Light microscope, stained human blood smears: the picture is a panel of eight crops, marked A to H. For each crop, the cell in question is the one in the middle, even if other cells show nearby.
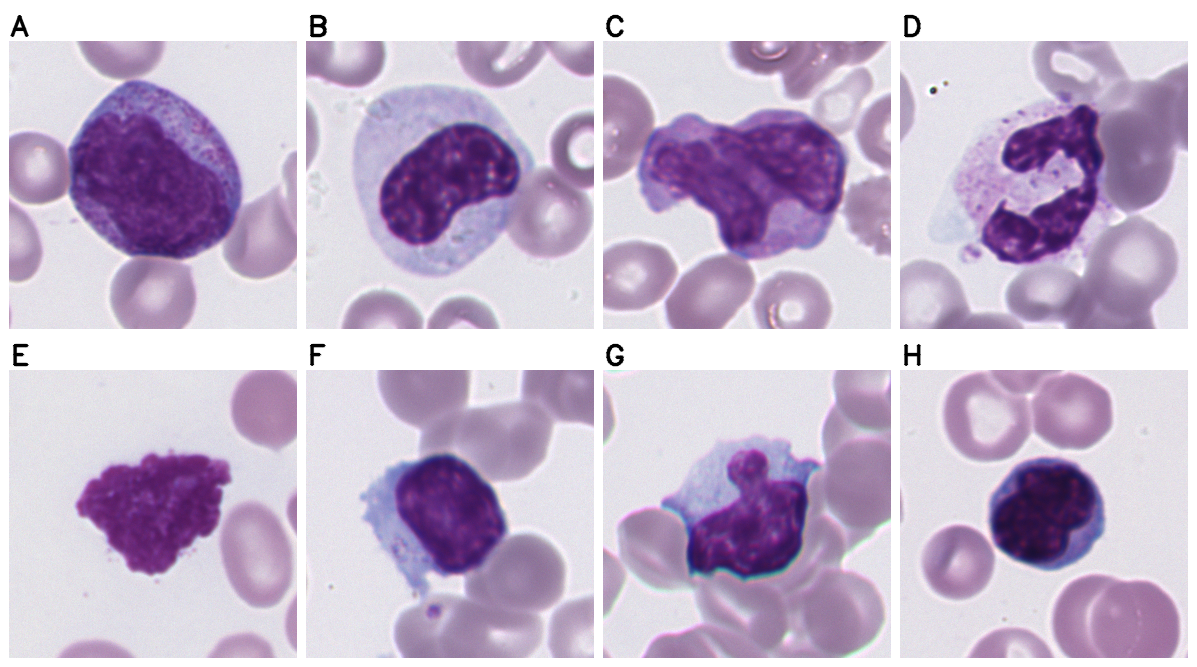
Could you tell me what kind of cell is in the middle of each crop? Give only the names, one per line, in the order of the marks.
promyelocyte
band neutrophil
atypical promyelocyte
segmented neutrophil
smudge cell
large granular lymphocyte
typical lymphocyte
typical lymphocyte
